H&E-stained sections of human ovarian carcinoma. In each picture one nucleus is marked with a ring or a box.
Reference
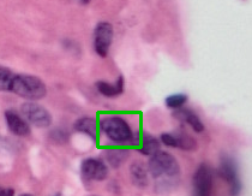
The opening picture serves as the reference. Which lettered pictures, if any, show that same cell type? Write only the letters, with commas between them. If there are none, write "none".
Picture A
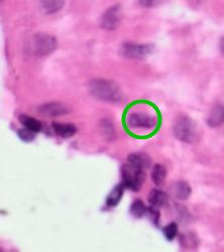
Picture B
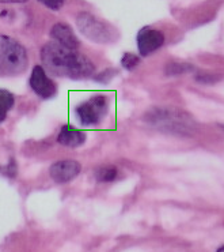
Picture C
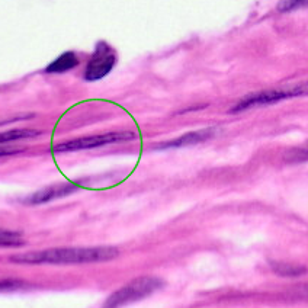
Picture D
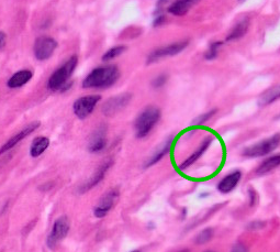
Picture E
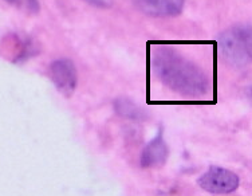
B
